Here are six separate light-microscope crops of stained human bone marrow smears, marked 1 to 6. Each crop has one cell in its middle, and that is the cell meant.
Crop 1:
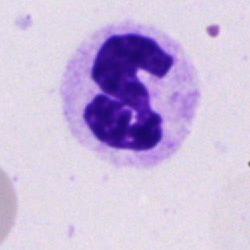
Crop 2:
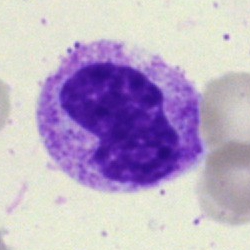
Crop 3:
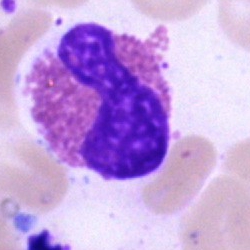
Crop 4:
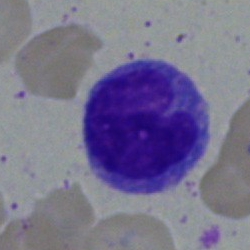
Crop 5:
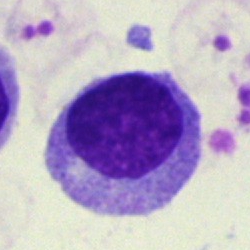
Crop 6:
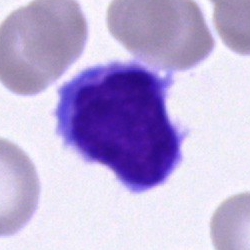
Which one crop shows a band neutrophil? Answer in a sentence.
In the set of crops, crop 2 is the one that contains a band neutrophil.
